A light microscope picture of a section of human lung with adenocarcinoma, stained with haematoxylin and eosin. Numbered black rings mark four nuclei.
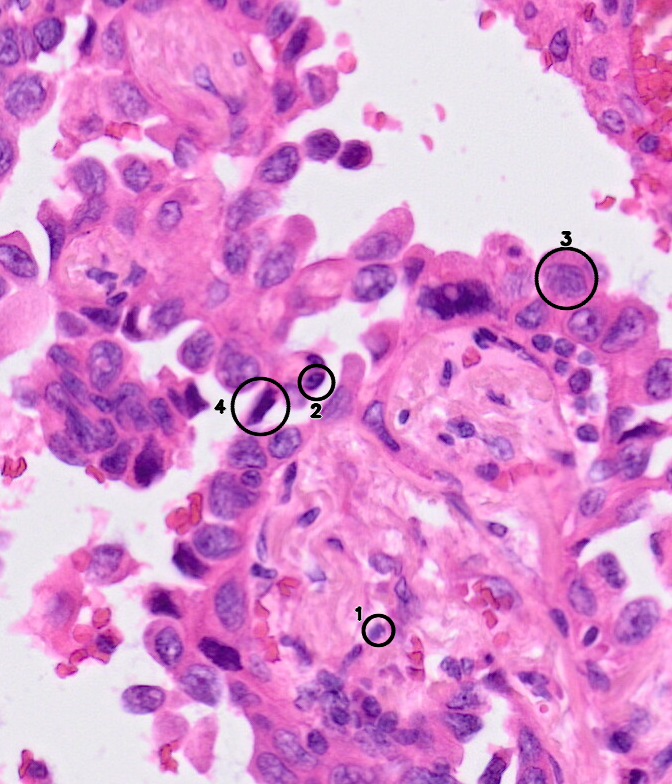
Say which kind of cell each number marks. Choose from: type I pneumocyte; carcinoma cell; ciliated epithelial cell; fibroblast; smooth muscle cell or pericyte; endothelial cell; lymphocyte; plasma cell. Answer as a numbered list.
1. lymphocyte
2. lymphocyte
3. carcinoma cell
4. carcinoma cell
